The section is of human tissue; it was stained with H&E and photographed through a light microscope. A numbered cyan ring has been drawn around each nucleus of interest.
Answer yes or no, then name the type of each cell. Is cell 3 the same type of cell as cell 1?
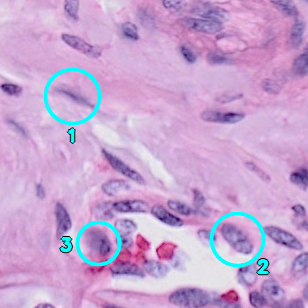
No, cell 3 is identified as an endothelial cell, and cell 1 is identified as a fibroblast.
